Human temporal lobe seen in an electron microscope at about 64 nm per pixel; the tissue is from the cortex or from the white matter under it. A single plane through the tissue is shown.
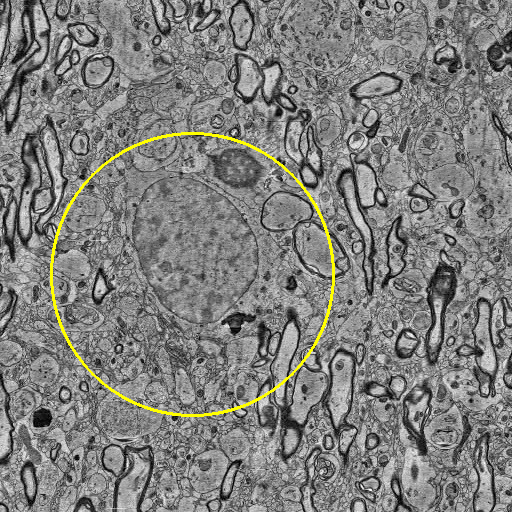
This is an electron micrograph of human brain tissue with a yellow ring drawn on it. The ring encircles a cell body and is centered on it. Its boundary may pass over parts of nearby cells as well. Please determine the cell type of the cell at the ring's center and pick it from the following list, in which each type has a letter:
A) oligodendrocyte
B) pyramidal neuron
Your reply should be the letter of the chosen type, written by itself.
A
